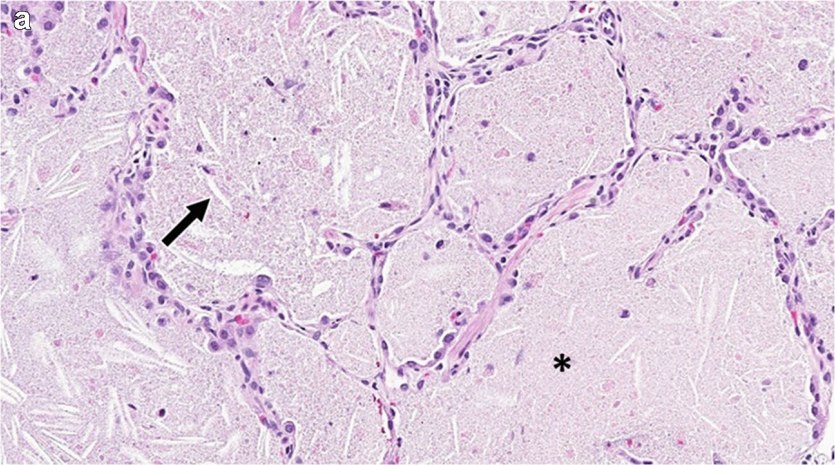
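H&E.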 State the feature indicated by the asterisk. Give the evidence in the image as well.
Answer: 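Pale pink, finely granular acellular material fills the alveolar spaces. Thin alveolar septa outline the filled spaces.
Hence: proteinaceous material.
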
